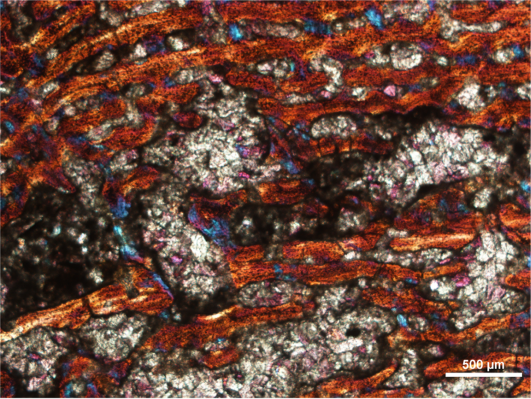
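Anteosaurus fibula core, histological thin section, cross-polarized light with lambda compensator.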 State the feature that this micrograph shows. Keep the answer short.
large resorption cavities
